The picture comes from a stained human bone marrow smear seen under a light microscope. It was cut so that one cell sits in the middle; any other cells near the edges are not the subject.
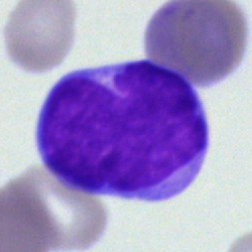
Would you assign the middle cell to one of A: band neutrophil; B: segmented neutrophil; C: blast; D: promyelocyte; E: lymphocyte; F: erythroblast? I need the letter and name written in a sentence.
Option C is correct, naming the cell in the middle as a blast.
